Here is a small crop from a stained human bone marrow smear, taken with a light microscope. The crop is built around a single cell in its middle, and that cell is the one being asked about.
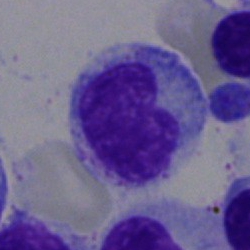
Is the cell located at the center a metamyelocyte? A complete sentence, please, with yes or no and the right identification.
Yes, the cell at the middle of the field is to be classed as a metamyelocyte.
